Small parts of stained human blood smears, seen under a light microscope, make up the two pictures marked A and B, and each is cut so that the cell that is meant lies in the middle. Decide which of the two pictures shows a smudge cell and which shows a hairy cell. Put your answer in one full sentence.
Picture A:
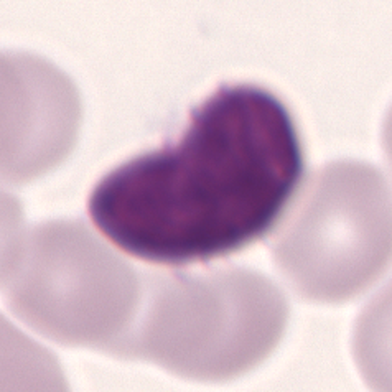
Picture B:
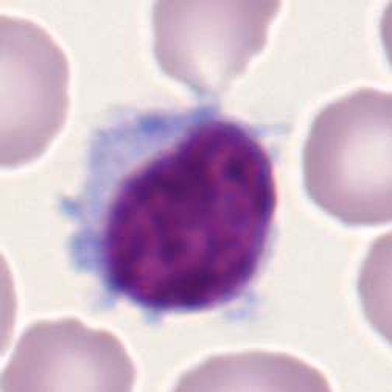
Picture B shows a hairy cell, while picture A shows a smudge cell.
